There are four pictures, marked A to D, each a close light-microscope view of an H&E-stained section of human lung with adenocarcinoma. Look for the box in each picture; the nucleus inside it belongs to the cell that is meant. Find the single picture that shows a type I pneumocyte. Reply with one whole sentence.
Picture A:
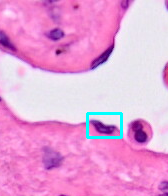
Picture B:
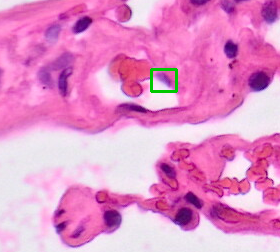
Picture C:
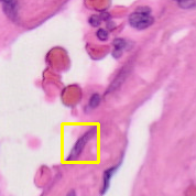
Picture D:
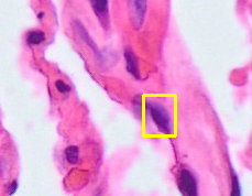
The picture with the type I pneumocyte is D.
